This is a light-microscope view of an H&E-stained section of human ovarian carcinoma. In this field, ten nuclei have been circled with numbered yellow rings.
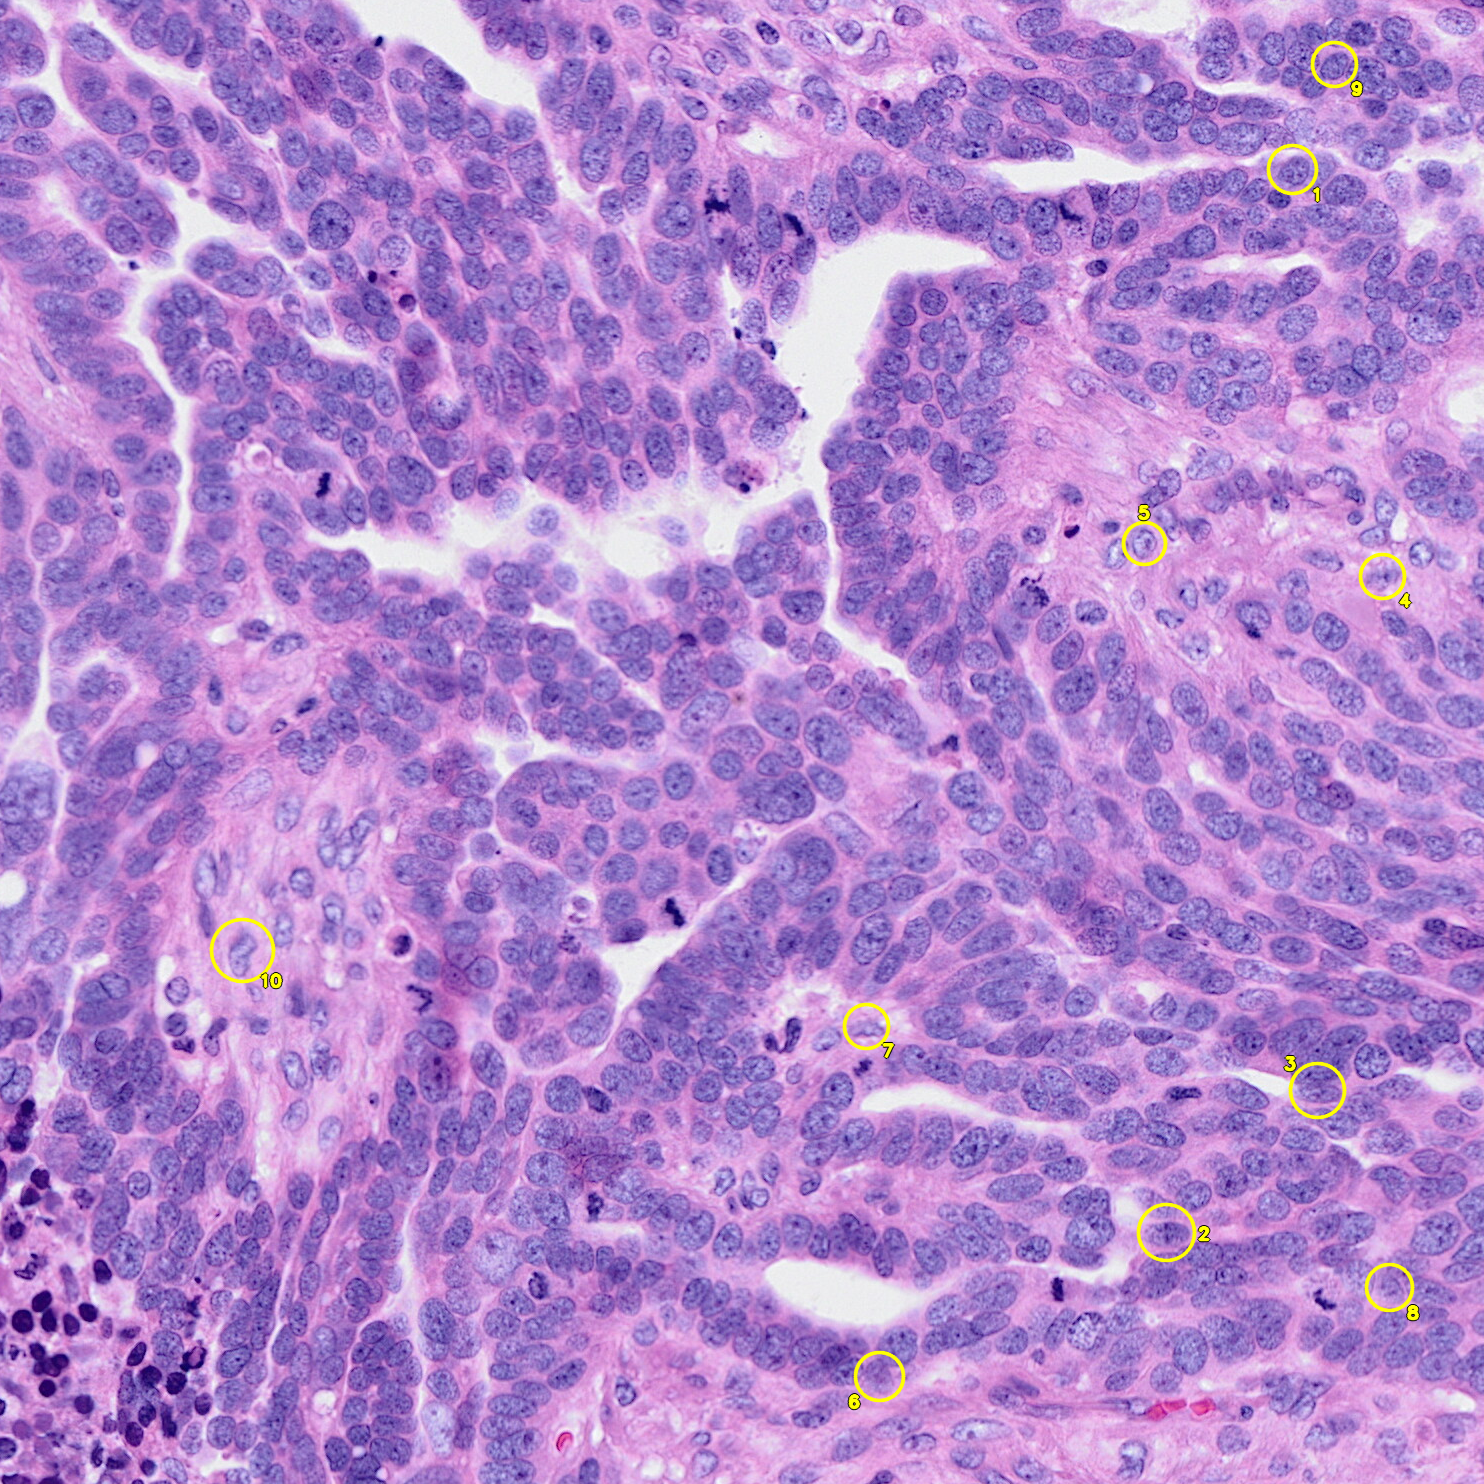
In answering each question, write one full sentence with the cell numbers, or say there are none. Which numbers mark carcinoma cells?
In terms of cell type, cells 1, 2, 3, 6, 8 and 9 are carcinoma cells.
